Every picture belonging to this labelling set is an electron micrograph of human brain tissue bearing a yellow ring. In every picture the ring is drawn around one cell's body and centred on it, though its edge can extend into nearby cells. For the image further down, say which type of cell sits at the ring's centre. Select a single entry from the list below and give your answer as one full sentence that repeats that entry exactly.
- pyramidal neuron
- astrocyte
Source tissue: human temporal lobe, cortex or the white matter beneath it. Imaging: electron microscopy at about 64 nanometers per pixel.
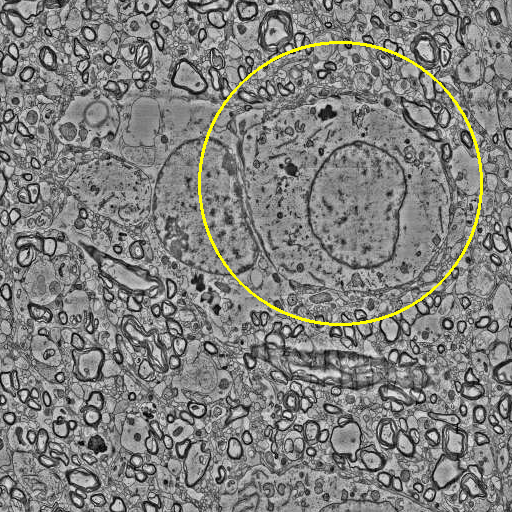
In the picture, a pyramidal neuron is the cell at the centre of the yellow ring.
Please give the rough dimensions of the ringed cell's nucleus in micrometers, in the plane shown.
In this plane the nucleus measures roughly 8 by 6 micrometres.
